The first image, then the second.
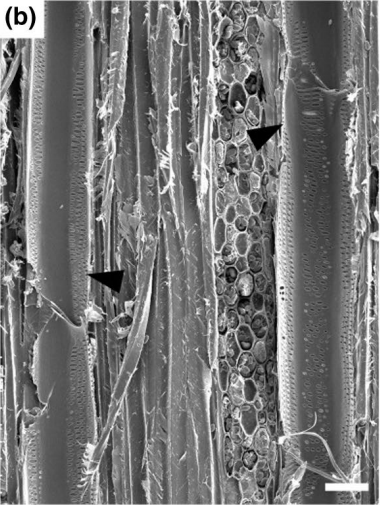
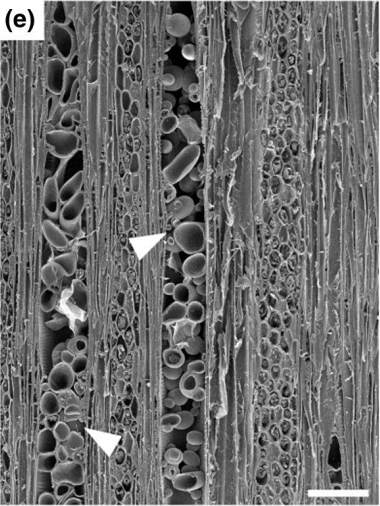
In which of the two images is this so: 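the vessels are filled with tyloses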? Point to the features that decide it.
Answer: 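The second image. Second image: long channels packed with rounded bubble-like bodies. First image: wide long tubes with pitted walls and empty lumens.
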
